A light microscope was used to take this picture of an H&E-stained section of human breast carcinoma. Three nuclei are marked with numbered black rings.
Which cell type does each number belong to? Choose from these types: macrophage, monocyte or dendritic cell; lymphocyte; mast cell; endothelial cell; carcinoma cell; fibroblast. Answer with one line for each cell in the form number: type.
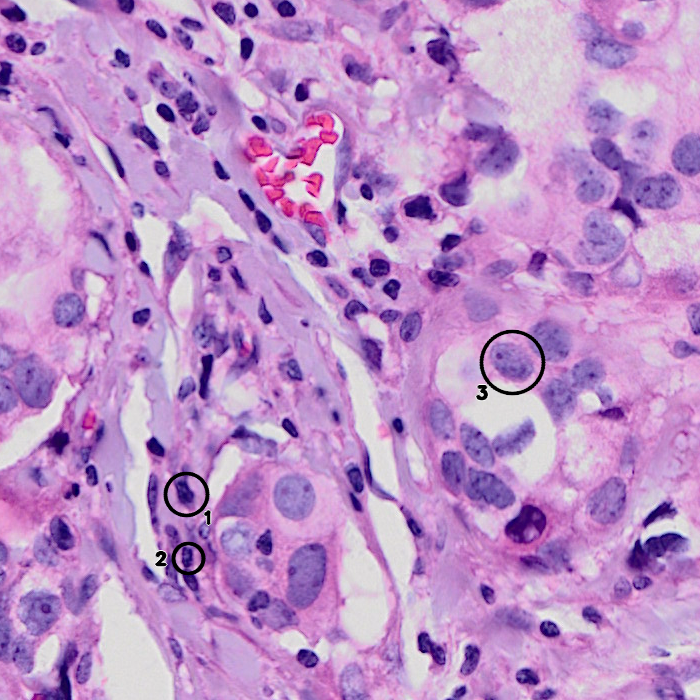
1: lymphocyte
2: lymphocyte
3: carcinoma cell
